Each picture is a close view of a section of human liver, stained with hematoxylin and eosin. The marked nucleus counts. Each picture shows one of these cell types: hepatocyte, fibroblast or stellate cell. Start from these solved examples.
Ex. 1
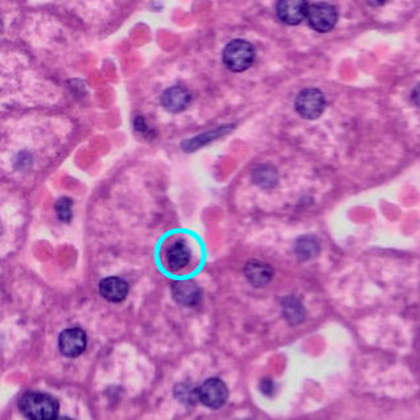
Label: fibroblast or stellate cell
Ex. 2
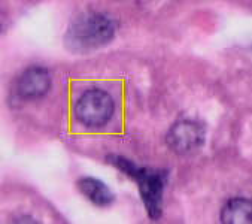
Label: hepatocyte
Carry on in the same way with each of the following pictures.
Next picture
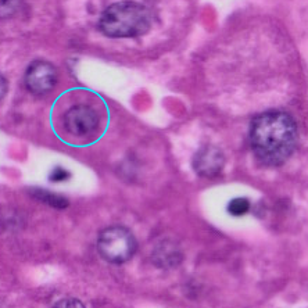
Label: hepatocyte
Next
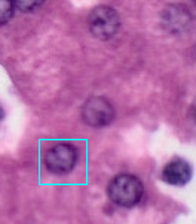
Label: hepatocyte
